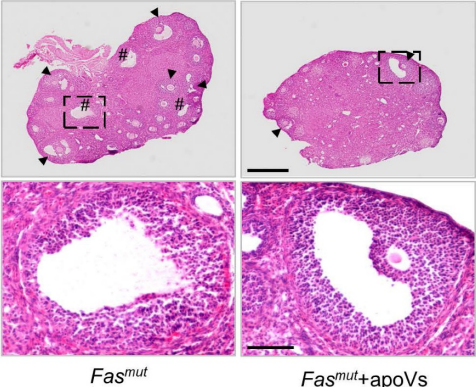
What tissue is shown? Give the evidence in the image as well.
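Oval sections of an organ packed with round follicles of varying size. Follicles are cavities surrounded by layers of densely packed small cells within a cellular stroma.
Answer: ovarian tissues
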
